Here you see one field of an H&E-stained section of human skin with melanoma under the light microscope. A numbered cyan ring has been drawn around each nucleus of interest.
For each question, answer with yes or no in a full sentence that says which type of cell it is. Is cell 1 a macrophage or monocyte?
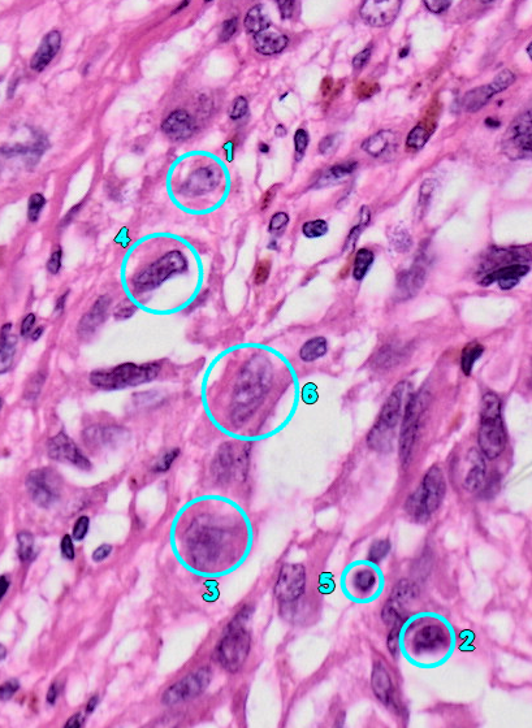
Yes, the cell pointed out as number 1 is a macrophage or monocyte.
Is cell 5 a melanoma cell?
No, cell 5 should be read as a lymphocyte instead of a melanoma cell.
